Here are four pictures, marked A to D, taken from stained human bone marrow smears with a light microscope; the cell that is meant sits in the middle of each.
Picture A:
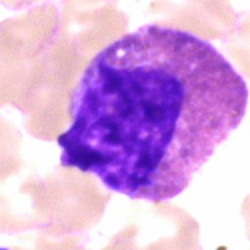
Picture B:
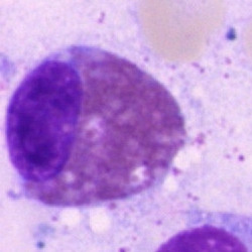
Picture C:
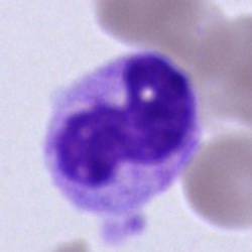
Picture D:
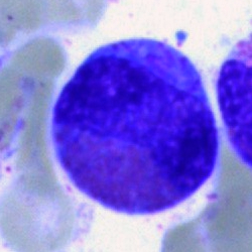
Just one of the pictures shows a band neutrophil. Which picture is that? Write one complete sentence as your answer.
The cell in picture C is the band neutrophil.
